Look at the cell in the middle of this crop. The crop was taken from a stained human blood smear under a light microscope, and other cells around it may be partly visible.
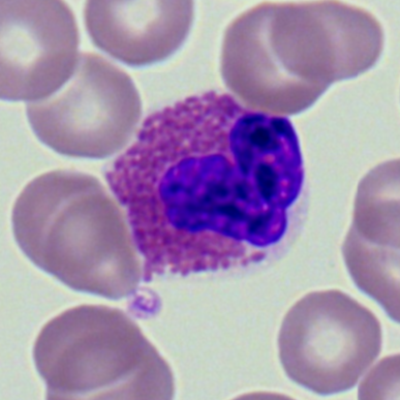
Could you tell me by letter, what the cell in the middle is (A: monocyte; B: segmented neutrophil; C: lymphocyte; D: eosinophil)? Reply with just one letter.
D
